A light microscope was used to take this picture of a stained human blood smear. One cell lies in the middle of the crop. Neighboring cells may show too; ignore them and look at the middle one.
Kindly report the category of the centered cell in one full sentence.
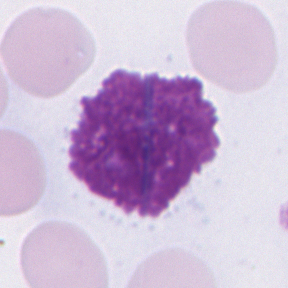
This crop has a smudge cell at its centre.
